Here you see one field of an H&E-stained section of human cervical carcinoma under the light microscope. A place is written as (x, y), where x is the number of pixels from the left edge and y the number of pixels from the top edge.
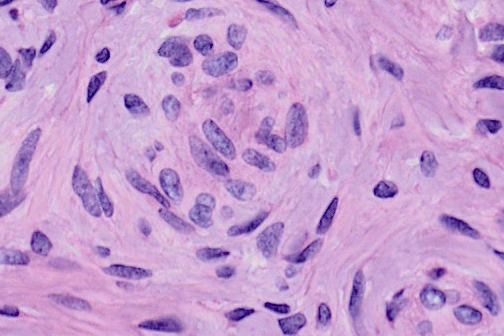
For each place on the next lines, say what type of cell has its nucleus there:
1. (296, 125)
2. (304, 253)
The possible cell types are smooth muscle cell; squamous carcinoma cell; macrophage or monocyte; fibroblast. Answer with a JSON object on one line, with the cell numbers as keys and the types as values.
{"1": "smooth muscle cell", "2": "fibroblast"}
